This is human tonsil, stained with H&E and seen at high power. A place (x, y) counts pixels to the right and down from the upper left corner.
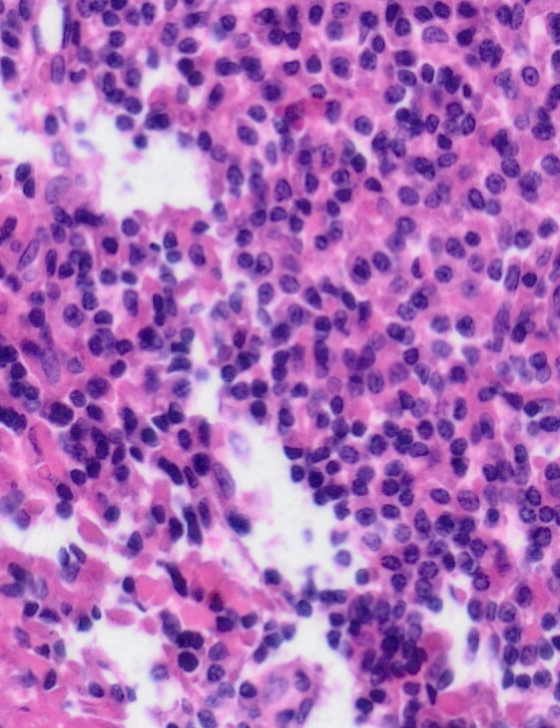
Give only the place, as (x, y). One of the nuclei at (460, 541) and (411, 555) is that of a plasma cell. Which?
(411, 555)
